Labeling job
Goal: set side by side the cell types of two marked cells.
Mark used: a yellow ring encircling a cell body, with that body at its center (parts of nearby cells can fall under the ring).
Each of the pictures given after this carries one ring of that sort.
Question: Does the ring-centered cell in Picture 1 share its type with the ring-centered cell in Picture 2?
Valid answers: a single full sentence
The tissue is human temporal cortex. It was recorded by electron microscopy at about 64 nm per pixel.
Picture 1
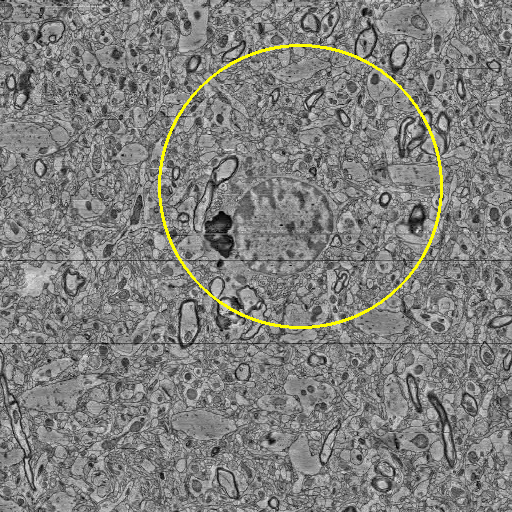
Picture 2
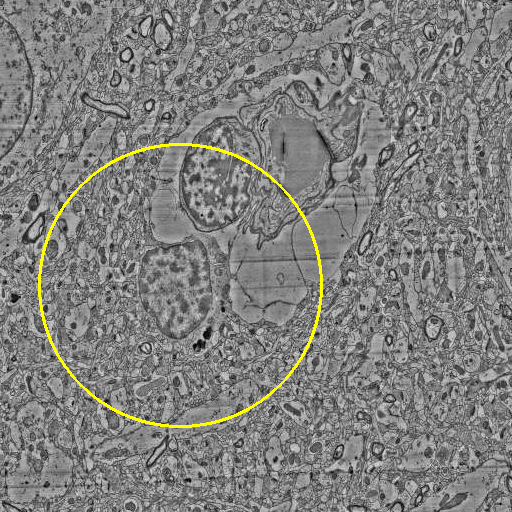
Yes, in Pictures 1 and 2 the cells at the ring centers share one type.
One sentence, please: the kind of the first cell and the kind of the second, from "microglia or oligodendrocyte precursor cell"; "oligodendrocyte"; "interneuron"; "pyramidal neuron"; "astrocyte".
Each of the two rings is centred on an oligodendrocyte.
